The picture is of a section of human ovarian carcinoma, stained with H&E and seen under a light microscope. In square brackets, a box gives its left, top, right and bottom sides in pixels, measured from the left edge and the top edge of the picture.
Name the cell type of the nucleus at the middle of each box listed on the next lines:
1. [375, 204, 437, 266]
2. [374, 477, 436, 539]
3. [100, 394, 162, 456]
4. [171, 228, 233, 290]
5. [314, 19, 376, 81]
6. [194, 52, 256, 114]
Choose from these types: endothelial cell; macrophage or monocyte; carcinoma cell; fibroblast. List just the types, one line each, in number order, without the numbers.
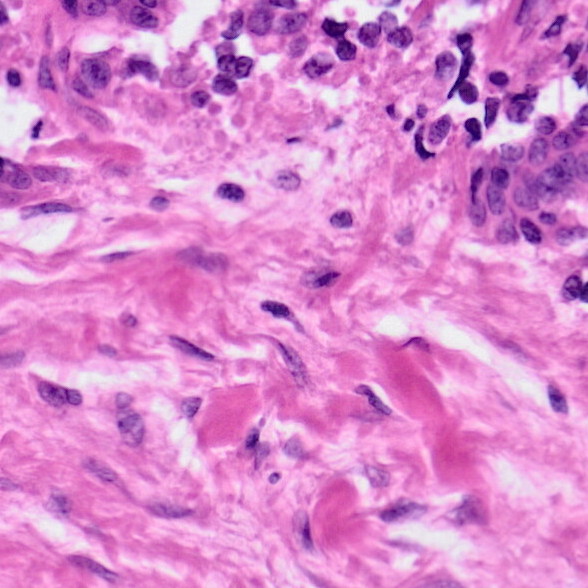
fibroblast
fibroblast
fibroblast
fibroblast
carcinoma cell
carcinoma cell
